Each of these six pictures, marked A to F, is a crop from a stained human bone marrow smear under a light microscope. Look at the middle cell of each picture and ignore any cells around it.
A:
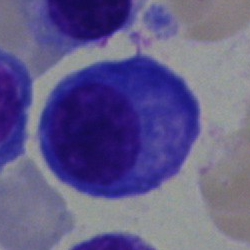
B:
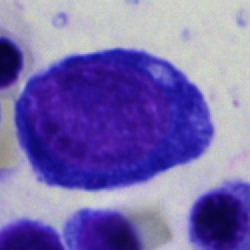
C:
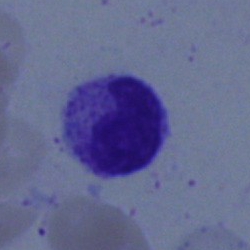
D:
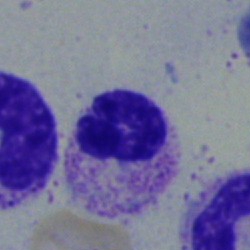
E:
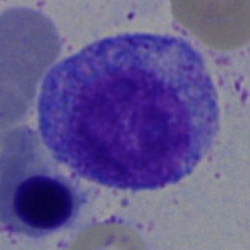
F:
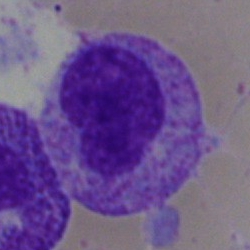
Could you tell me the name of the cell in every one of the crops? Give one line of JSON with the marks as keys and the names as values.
{"A": "plasma cell", "B": "proerythroblast", "C": "metamyelocyte", "D": "band neutrophil", "E": "promyelocyte", "F": "metamyelocyte"}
